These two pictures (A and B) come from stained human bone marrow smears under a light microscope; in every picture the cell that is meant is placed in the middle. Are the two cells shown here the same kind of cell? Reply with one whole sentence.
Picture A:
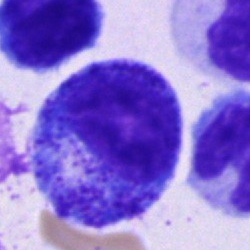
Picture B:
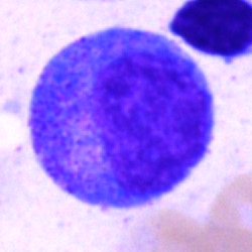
Yes, both are promyelocytes.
